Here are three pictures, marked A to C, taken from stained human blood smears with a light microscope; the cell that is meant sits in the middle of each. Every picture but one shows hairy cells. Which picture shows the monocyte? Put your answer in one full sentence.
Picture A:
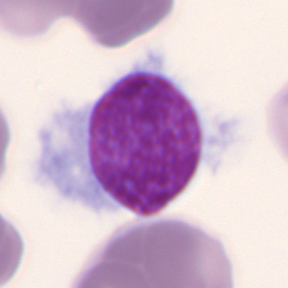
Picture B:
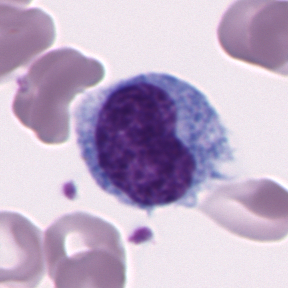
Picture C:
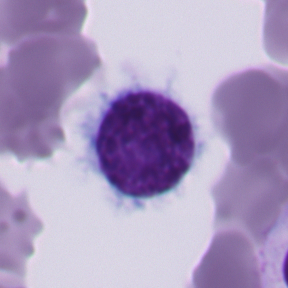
Picture B shows the monocyte.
